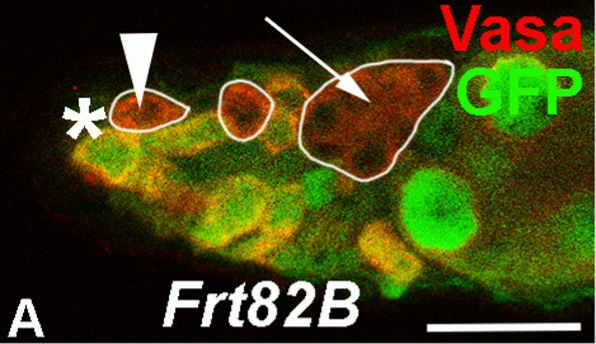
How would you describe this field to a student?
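This is the narrow apical tip of a testis packed with small germ cells stained red, many also green. Three outlined groups of cells lack the green: a single cell right at the tip and further along a group of small cells, while the remaining germ cells are green or yellow.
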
